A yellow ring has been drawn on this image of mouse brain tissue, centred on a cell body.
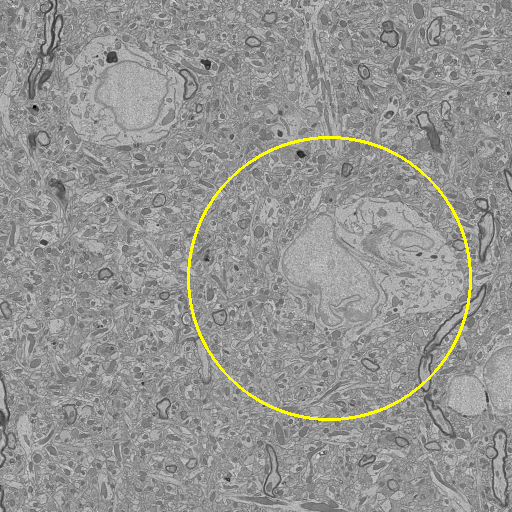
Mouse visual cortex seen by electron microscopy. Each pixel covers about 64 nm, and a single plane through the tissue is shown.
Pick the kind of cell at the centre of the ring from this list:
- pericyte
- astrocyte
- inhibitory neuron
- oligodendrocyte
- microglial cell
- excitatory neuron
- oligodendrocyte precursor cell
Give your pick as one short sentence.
The centre of the ring holds an oligodendrocyte precursor cell.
